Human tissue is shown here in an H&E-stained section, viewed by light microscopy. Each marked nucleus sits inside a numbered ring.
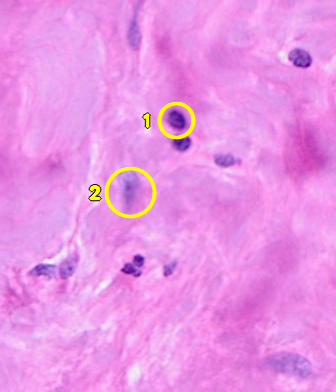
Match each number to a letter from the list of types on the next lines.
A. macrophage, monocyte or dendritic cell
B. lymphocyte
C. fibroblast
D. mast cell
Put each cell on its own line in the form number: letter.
1: B
2: C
